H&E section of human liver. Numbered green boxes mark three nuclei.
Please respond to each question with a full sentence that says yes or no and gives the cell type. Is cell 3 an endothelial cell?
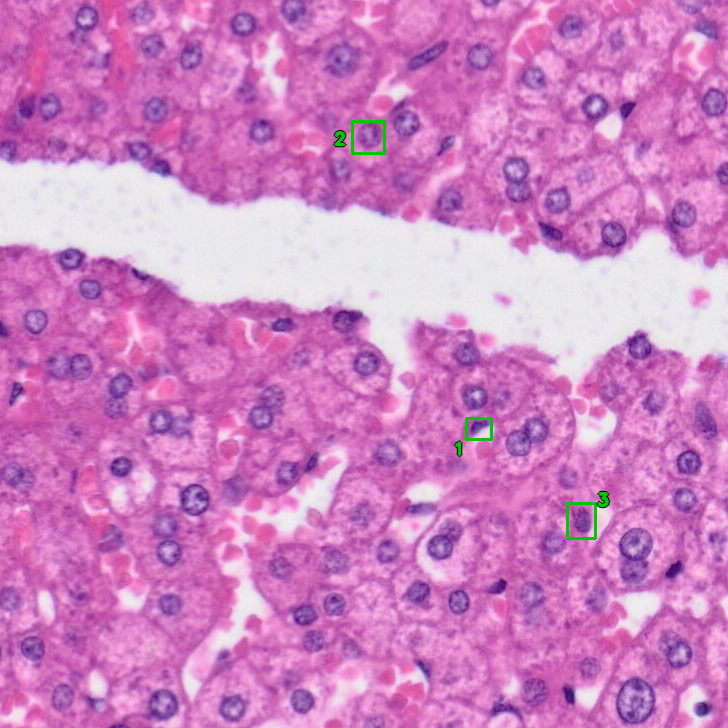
No. Cell number 3 is a Kupffer cell, not an endothelial cell.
